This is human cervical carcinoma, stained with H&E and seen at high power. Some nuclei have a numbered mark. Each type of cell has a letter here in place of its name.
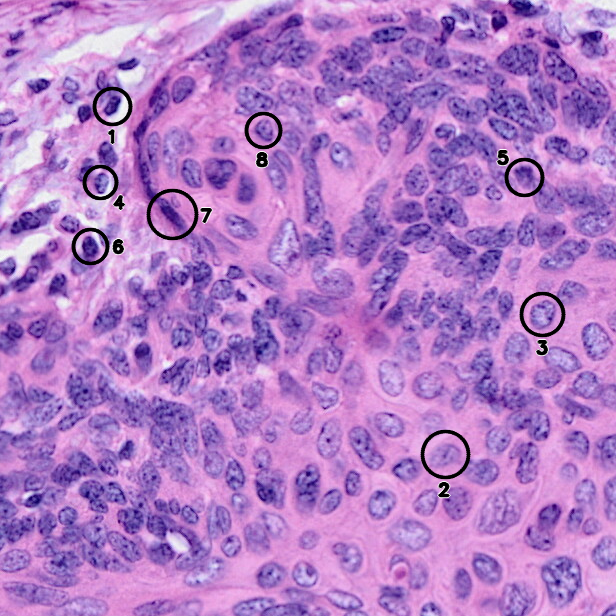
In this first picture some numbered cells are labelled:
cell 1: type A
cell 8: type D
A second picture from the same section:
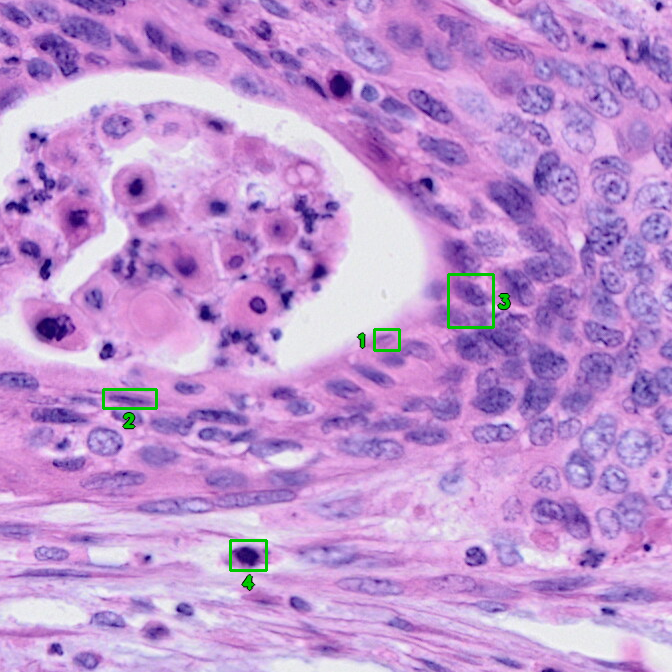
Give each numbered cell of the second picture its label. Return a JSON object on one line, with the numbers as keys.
{"1": "type D", "2": "type D", "3": "type D", "4": "type A"}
